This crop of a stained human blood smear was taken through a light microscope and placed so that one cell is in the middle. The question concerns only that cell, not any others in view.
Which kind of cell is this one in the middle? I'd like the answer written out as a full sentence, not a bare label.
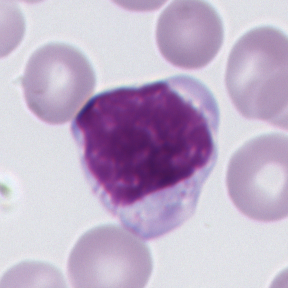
The cell the crop is centered on is a large granular lymphocyte.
